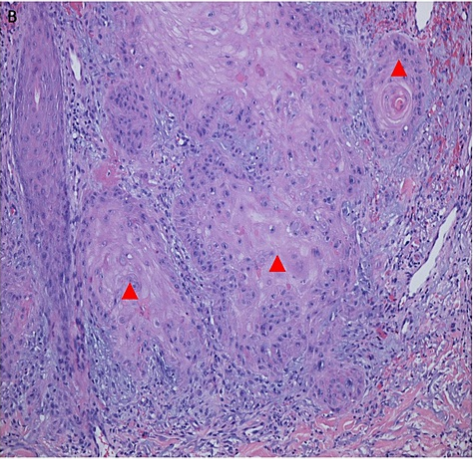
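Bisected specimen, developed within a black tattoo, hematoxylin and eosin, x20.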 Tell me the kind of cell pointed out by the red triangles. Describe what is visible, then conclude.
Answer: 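Large nests of cells with abundant pink glassy cytoplasm lie in the dermis. A concentric pink keratin whorl sits within one nest at upper right. The nests are surrounded by stroma with many small dark nuclei. So: atypical squamous tumor cells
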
